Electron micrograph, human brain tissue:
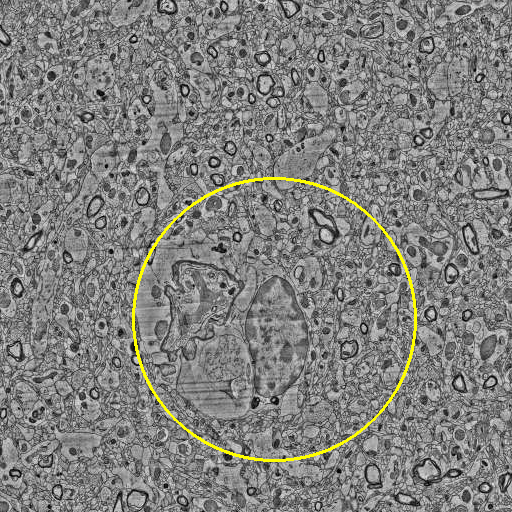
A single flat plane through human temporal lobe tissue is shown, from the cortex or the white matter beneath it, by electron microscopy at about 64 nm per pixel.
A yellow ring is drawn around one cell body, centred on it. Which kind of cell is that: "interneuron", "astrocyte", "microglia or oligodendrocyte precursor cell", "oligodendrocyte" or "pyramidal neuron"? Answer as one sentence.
It is a microglial cell or oligodendrocyte precursor cell at the centre of the ring.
